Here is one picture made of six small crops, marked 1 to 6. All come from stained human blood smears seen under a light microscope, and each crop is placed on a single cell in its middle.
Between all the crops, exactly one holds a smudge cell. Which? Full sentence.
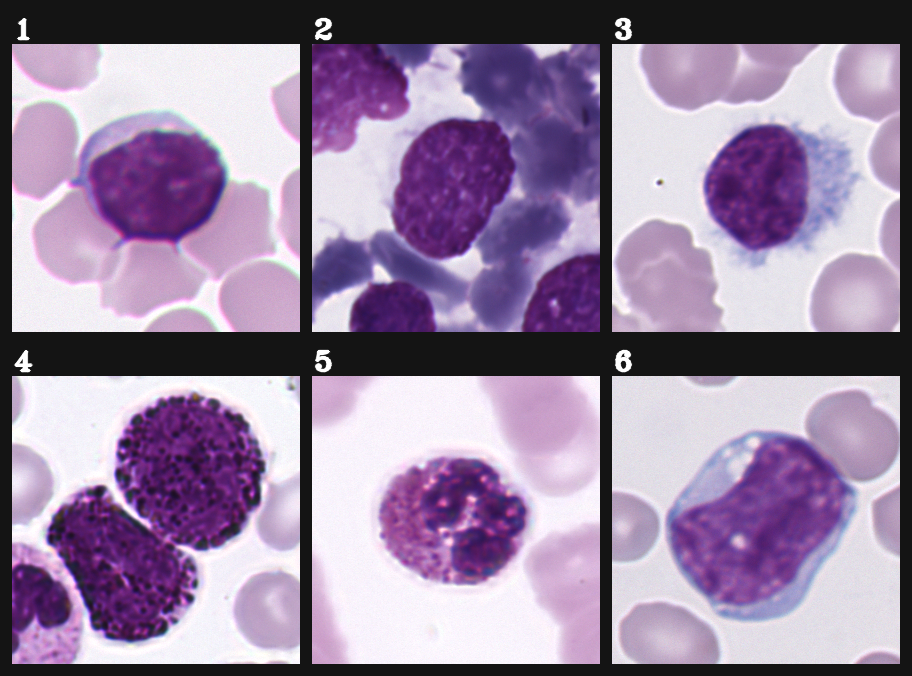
Crop 2 shows a smudge cell, and no other crop does.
